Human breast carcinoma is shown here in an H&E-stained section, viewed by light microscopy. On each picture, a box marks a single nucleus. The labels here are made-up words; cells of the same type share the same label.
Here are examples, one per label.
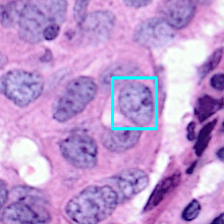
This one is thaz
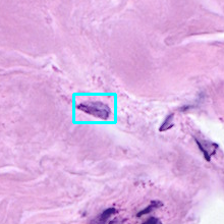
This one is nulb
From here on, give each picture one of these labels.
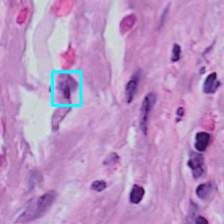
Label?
nulb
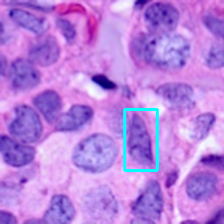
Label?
thaz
